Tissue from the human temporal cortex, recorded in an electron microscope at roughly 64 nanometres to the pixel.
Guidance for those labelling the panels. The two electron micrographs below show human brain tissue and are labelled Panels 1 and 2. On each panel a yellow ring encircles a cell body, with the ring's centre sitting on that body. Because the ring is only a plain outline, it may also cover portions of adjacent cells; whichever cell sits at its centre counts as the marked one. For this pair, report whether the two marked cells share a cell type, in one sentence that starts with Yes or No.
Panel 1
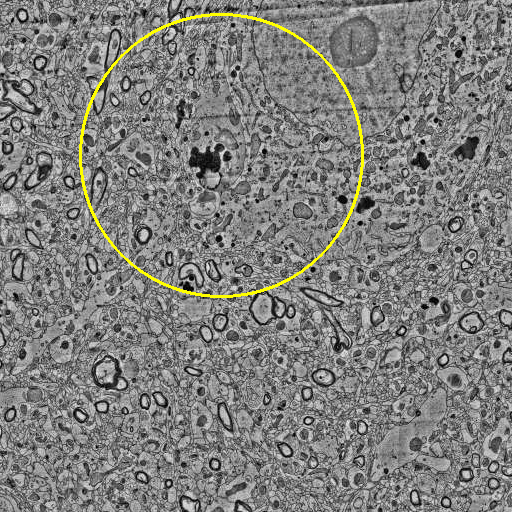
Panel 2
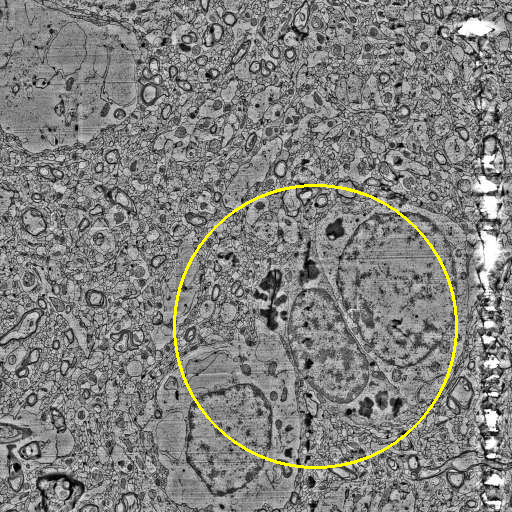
Yes, in Panel 1 and Panel 2 the marked cells at the ring centres share one type.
